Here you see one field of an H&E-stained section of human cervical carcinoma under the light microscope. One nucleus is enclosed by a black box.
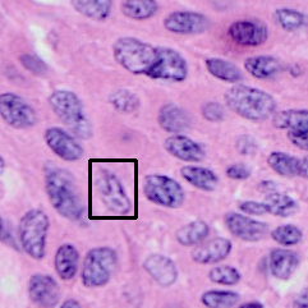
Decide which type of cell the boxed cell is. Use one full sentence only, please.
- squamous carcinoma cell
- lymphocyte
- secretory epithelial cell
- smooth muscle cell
The identity of the boxed cell: it is a squamous carcinoma cell.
